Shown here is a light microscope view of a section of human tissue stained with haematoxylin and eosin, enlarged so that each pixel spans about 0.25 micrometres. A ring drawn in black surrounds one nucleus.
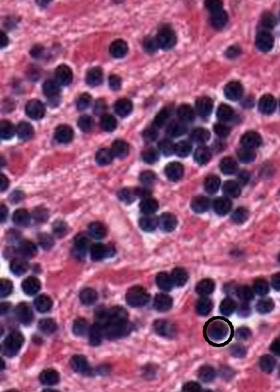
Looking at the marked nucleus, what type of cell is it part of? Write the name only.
cerebellar granule cell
